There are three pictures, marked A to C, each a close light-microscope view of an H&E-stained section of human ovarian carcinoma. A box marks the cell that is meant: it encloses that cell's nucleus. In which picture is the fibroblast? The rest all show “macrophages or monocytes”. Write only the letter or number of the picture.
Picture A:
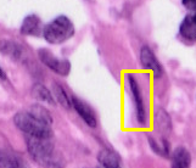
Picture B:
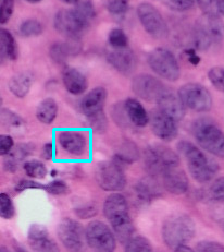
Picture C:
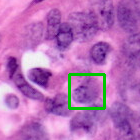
A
